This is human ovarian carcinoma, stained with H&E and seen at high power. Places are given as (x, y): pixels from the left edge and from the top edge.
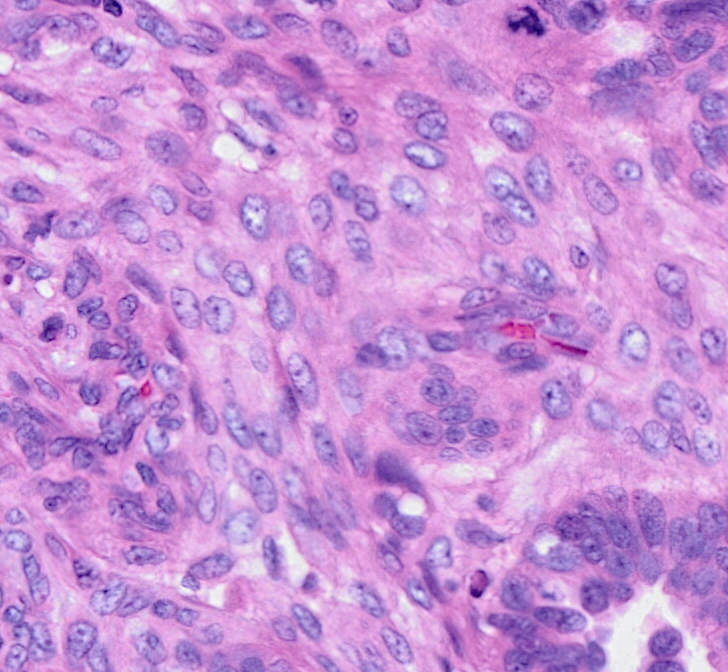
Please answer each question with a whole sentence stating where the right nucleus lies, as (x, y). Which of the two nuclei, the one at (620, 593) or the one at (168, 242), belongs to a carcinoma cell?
Lying within a carcinoma cell is the nucleus at (620, 593).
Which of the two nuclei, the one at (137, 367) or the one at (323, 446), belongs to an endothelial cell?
The nucleus lying at (137, 367) is the nucleus of an endothelial cell.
